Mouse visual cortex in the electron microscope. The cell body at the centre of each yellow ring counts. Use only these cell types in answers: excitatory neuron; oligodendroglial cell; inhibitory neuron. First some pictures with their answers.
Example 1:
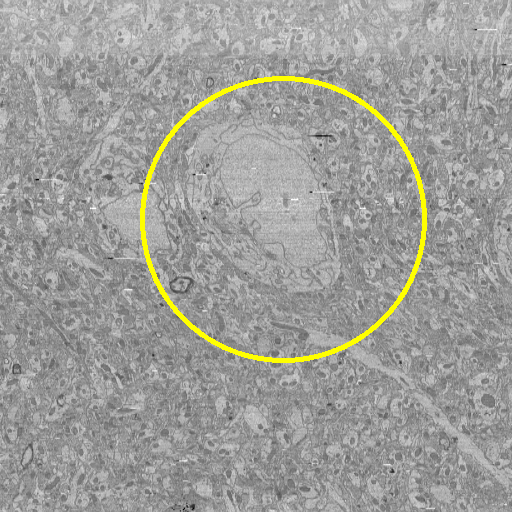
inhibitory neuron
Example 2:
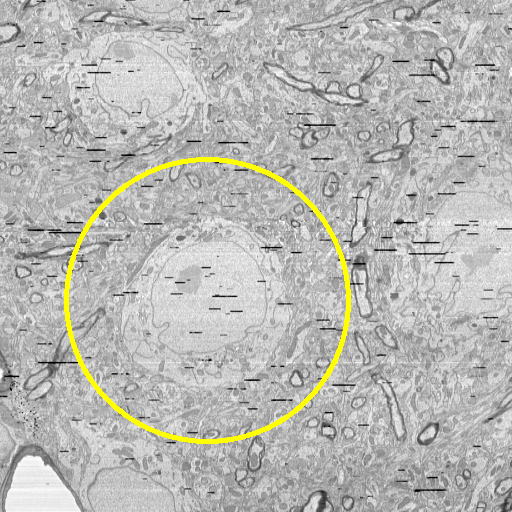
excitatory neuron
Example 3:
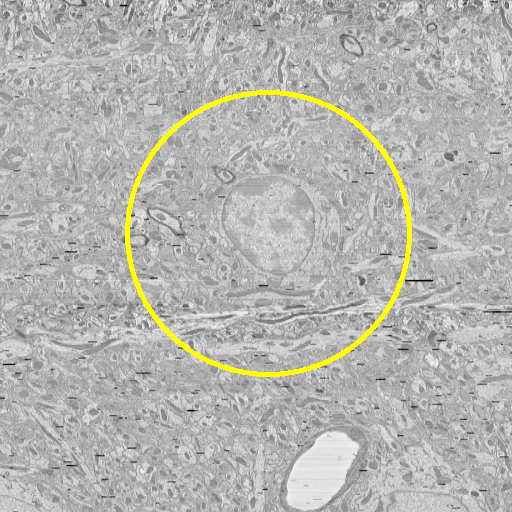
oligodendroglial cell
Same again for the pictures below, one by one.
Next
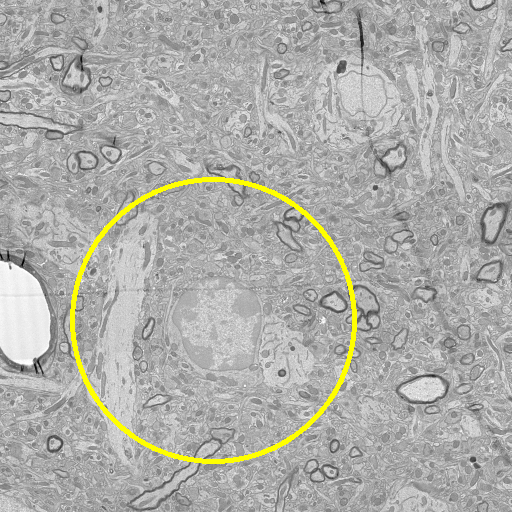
oligodendroglial cell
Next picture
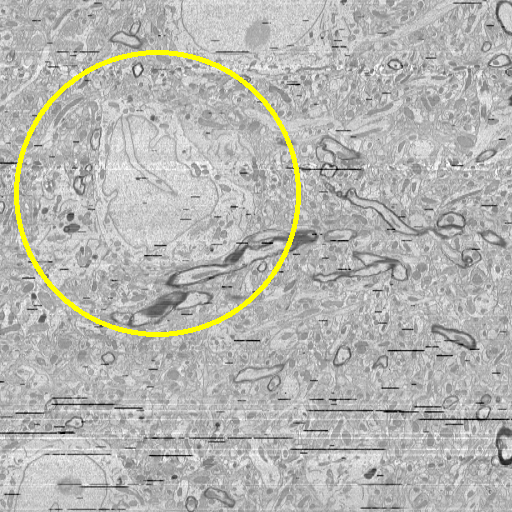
inhibitory neuron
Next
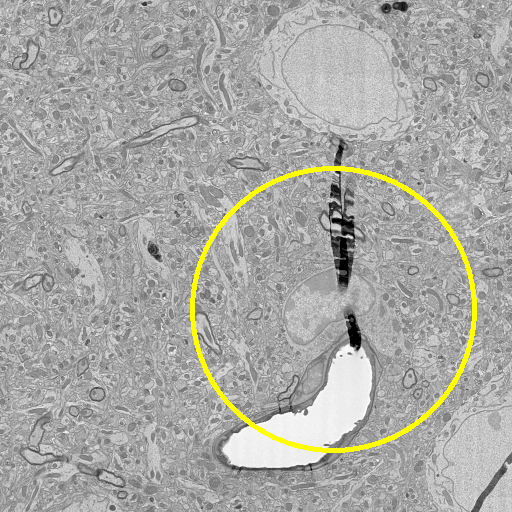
oligodendroglial cell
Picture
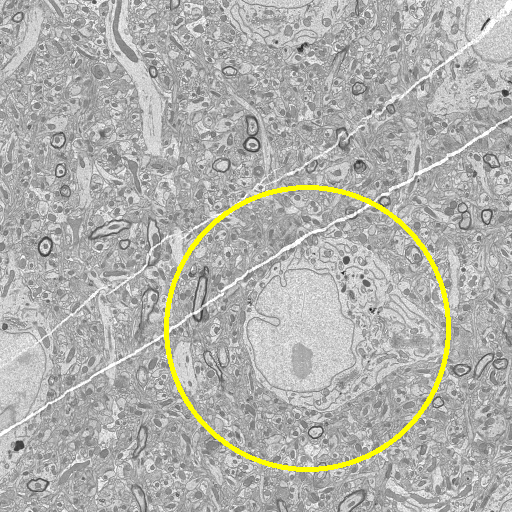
inhibitory neuron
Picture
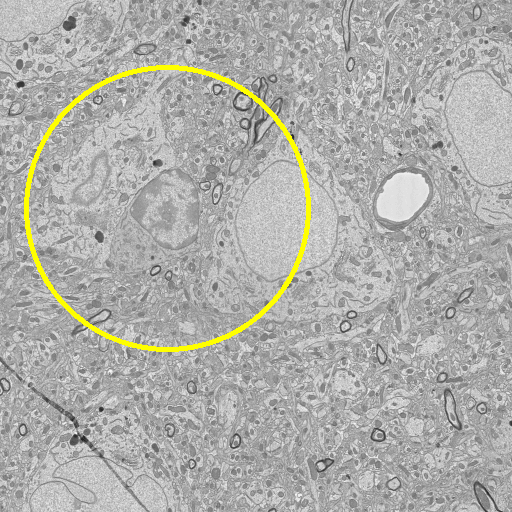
oligodendroglial cell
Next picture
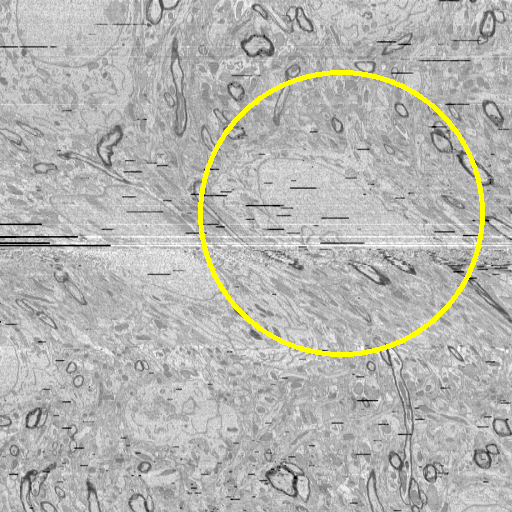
inhibitory neuron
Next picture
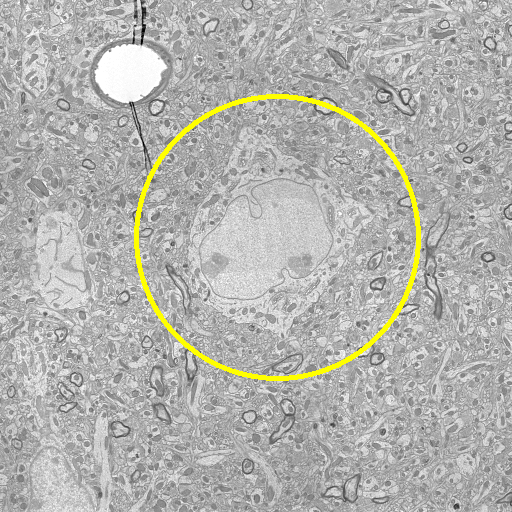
excitatory neuron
